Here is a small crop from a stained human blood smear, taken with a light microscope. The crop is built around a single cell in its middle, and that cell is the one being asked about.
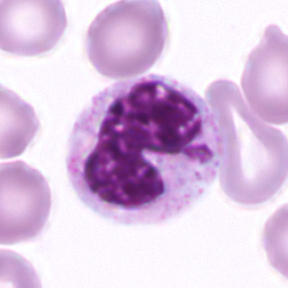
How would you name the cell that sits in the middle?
band neutrophil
